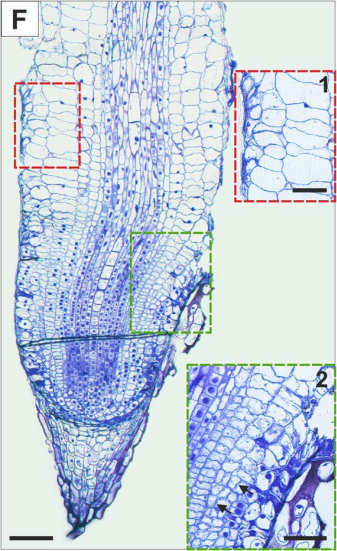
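This is a longitudinal section through a root tip, with a cap at the bottom and cell files running upward. Near the tip the cells are small and densely stained dark blue, while farther up the cortical cells become large, pale and irregular in arrangement. The outer layers are uneven and partly torn, and small divided cells lie among them at one side.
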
